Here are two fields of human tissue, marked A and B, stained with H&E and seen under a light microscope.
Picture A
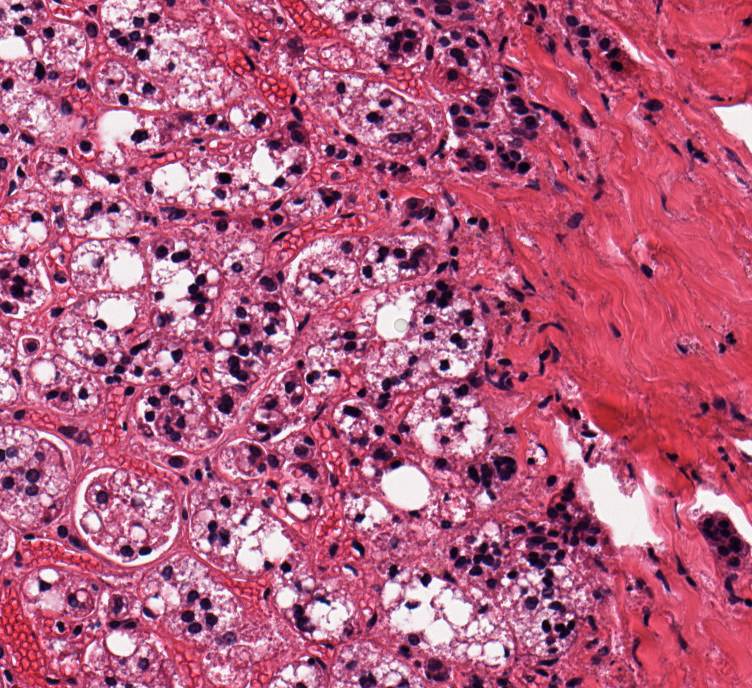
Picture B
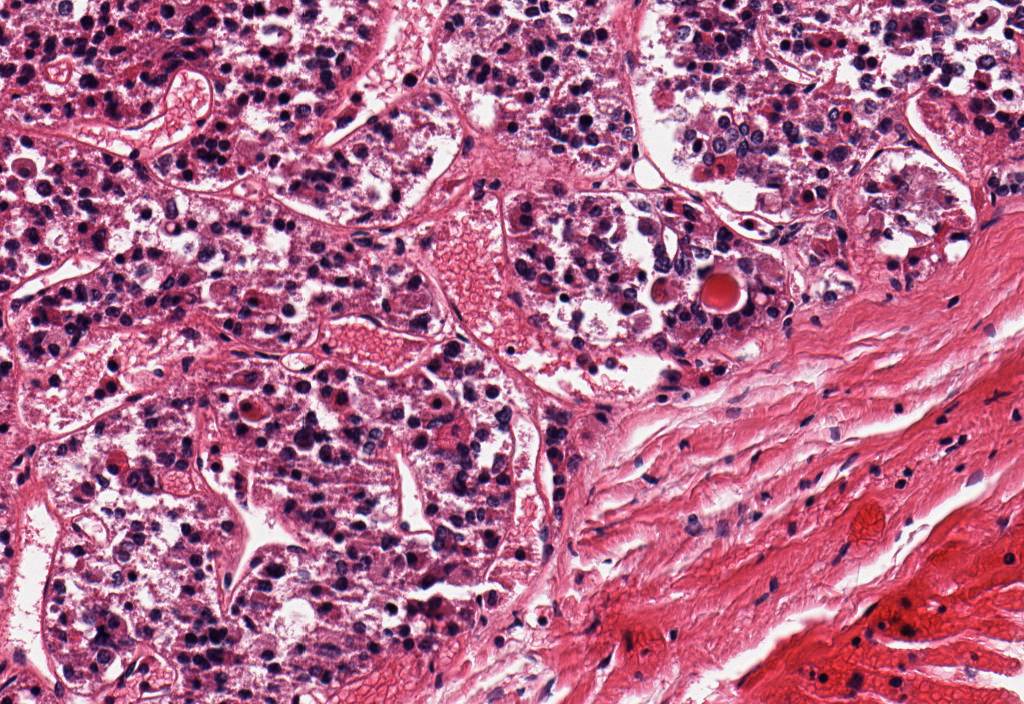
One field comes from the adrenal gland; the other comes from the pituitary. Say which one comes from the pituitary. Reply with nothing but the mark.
B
